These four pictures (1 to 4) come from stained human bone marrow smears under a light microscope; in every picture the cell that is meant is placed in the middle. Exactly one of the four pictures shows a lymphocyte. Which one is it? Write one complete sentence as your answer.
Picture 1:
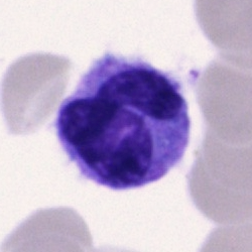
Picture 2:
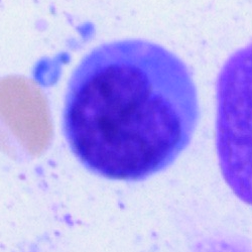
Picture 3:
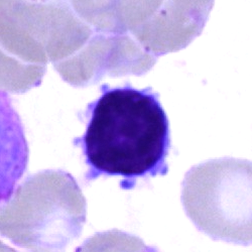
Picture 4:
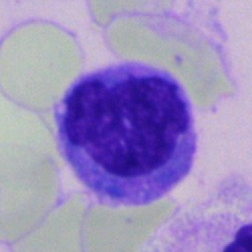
The picture with the lymphocyte is 3.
